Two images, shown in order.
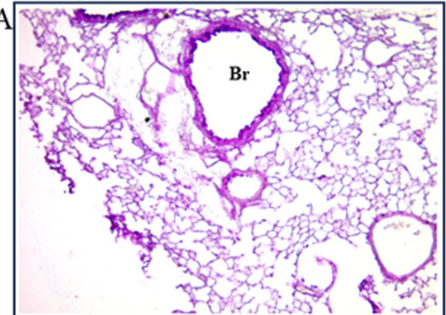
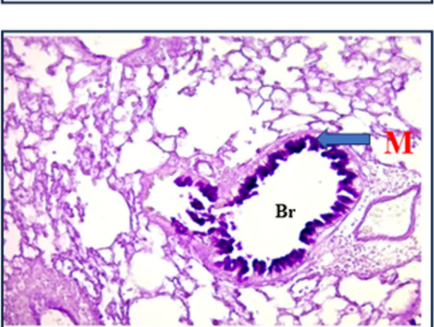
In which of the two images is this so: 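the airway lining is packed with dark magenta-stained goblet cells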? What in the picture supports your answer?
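The second image. Second image: the airway lining is ringed by dense dark purple-magenta cells.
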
